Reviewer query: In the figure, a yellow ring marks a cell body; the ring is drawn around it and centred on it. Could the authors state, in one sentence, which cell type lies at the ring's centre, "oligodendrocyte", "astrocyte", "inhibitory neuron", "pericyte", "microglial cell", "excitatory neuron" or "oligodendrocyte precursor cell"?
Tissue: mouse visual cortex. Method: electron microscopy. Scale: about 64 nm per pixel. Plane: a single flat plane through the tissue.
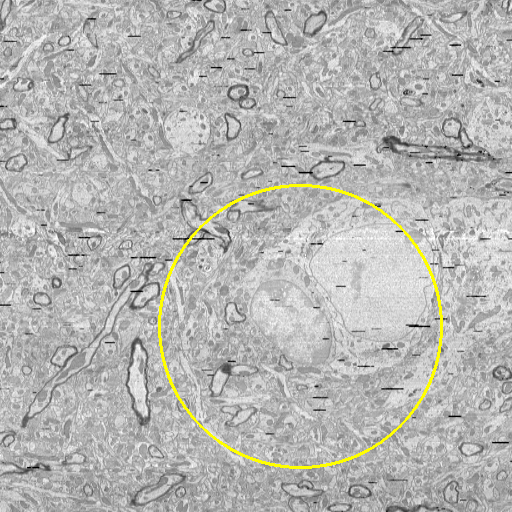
The ring is centred on an oligodendrocyte.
